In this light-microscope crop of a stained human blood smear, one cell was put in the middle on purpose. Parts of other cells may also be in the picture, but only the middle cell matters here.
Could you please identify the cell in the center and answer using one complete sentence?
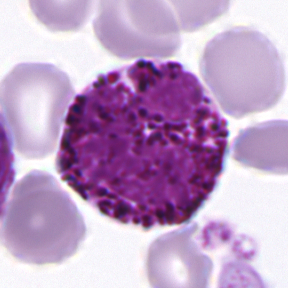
The cell at the heart of this crop is a basophil.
